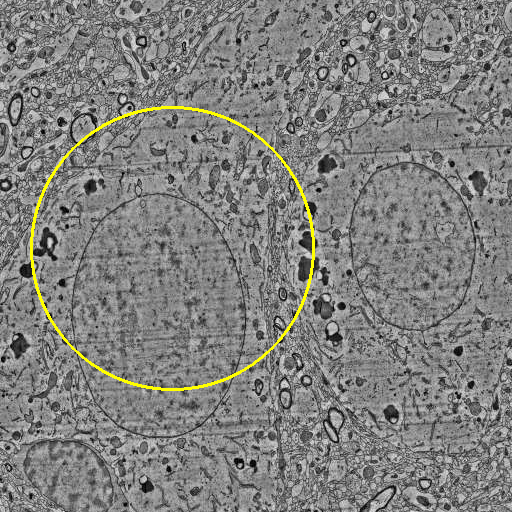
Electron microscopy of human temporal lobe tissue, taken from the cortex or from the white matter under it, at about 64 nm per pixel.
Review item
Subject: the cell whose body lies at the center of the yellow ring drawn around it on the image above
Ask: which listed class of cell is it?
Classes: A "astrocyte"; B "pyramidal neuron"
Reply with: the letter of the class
B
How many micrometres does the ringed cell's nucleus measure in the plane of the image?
In this plane the nucleus is about 16 micrometres by 11.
